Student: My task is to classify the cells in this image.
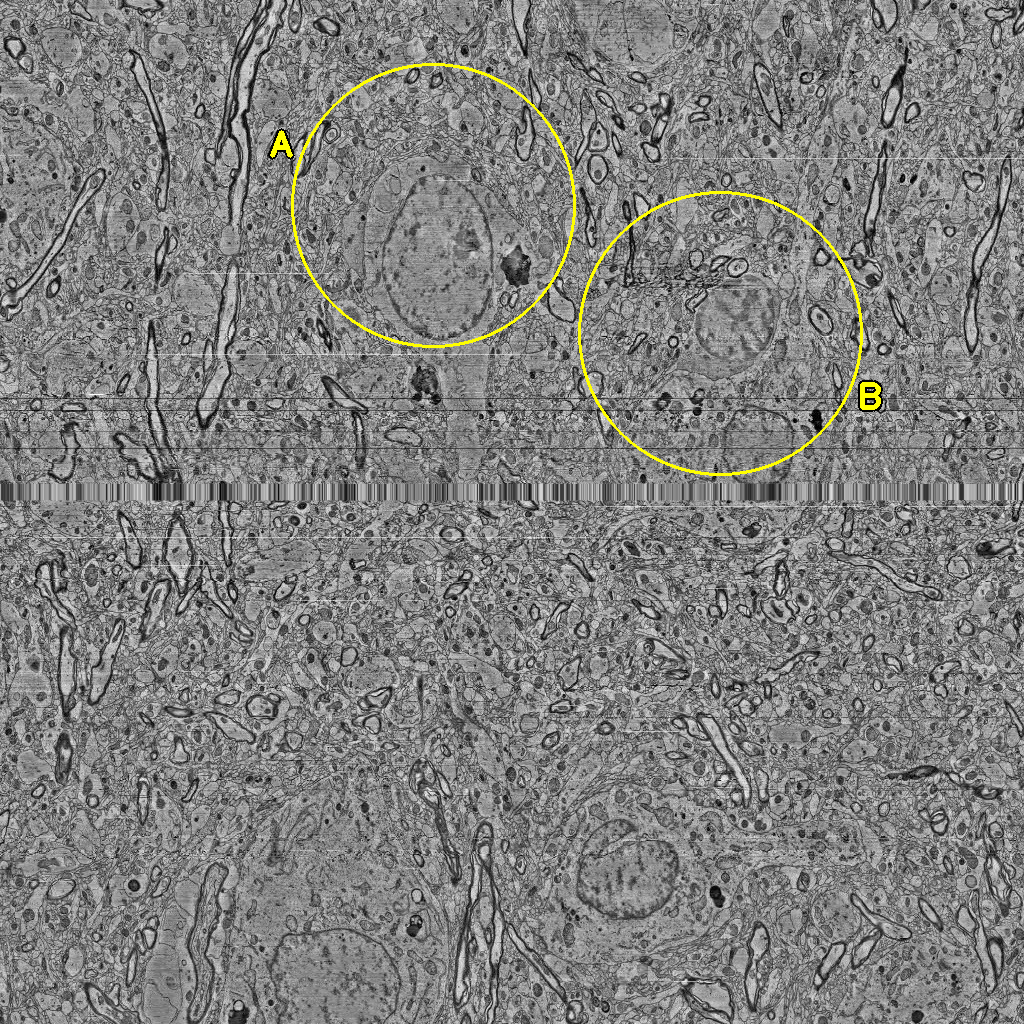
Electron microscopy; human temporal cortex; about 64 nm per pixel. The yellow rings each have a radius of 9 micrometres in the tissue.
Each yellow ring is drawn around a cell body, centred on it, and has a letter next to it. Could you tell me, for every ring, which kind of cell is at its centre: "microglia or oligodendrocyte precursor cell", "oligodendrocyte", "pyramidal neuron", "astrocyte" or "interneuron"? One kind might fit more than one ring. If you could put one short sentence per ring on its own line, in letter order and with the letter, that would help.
Ring A's central cell is an astrocyte.
Ring B's central cell is an oligodendrocyte.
